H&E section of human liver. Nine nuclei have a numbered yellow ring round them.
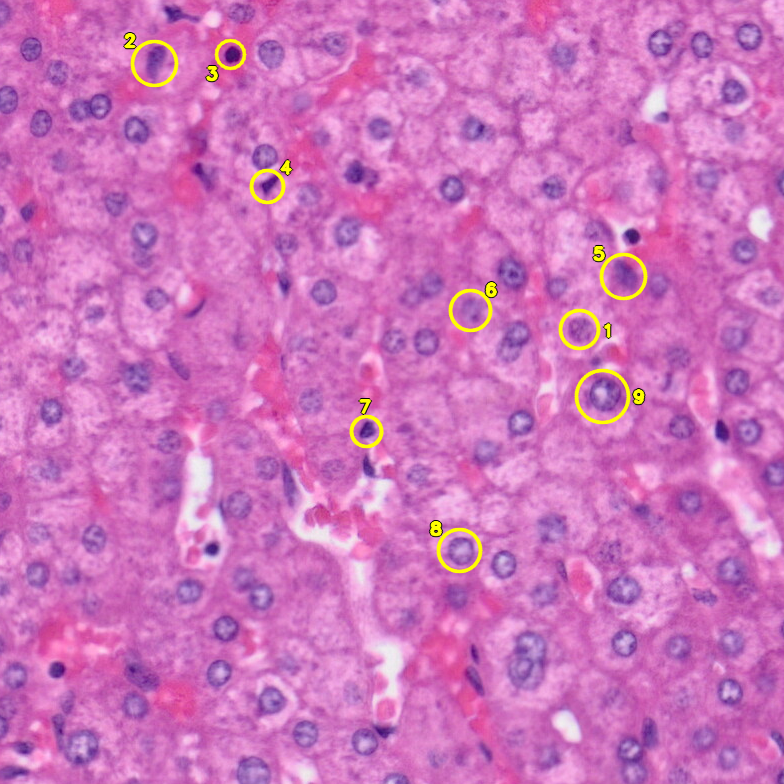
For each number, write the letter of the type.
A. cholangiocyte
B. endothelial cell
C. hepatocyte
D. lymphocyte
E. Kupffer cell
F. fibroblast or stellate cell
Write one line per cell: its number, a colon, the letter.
1: C
2: F
3: D
4: F
5: B
6: C
7: F
8: C
9: C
